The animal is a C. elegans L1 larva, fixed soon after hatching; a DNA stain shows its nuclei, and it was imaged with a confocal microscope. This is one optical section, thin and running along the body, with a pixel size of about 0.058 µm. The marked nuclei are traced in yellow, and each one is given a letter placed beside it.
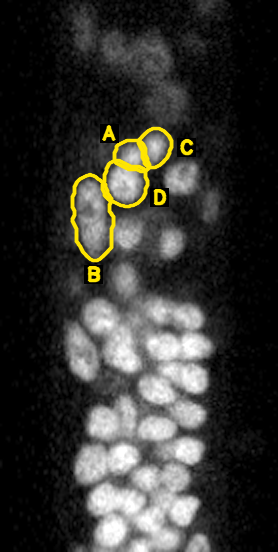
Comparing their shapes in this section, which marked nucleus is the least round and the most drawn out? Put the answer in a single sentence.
Nucleus B is the longest relative to its width.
